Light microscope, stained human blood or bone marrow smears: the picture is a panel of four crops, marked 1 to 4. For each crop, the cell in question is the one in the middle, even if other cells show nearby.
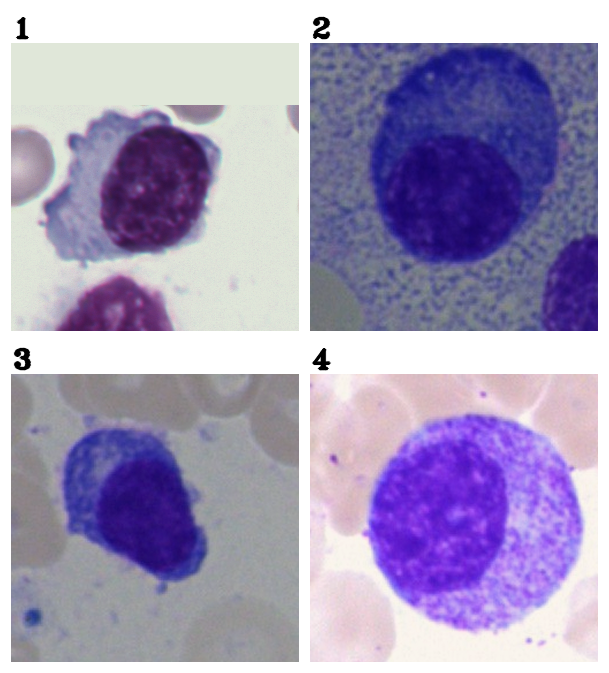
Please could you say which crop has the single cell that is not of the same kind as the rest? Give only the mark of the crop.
4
